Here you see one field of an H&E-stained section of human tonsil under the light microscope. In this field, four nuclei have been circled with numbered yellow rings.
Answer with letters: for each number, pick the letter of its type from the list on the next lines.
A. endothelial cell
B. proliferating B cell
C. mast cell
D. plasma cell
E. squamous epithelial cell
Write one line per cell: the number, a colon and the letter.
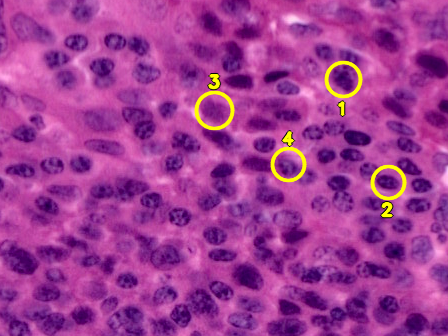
1: D
2: D
3: E
4: D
